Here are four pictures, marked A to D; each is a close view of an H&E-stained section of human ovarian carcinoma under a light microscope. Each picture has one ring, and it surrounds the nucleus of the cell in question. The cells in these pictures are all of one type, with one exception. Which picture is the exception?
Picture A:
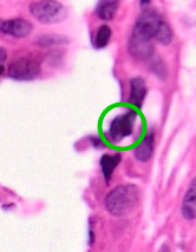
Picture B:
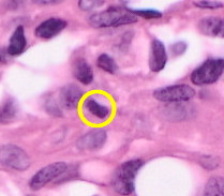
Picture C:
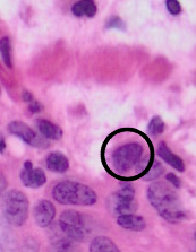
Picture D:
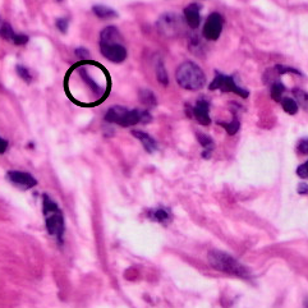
D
